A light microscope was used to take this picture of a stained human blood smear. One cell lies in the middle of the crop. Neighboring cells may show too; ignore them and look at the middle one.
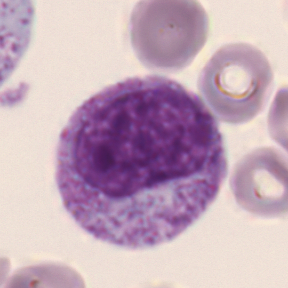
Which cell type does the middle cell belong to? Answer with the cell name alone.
myelocyte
